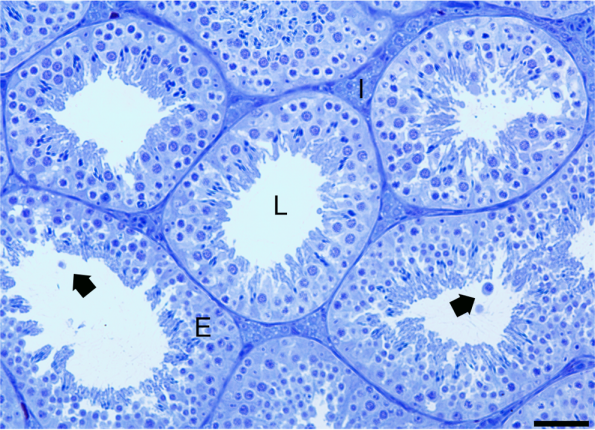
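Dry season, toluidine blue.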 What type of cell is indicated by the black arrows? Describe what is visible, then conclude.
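The arrows point at small round cells lying free in the central lumen of the tubules. The pointed cells are detached from the surrounding epithelium. So: germ cell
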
